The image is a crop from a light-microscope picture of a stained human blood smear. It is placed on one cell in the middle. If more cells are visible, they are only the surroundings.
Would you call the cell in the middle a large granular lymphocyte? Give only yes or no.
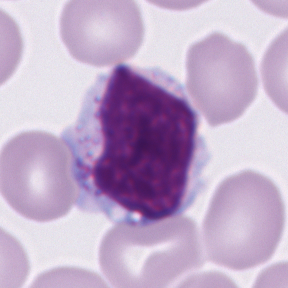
yes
